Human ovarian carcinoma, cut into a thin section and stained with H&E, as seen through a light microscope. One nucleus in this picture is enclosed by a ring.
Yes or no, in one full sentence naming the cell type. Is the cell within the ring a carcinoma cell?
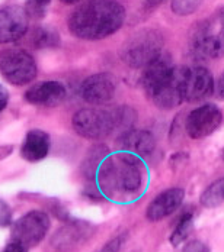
Yes, the cell within the ring is, by type, a carcinoma cell.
